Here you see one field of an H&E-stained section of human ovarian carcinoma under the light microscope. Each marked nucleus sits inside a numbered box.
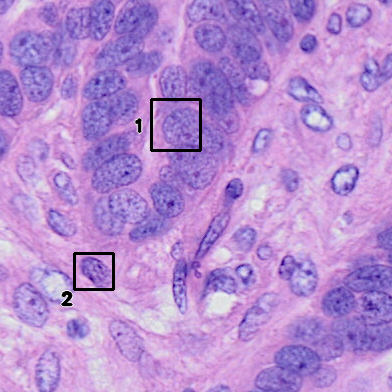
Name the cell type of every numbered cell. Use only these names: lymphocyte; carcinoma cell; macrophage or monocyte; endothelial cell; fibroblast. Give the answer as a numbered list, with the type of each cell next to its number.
1. carcinoma cell
2. macrophage or monocyte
